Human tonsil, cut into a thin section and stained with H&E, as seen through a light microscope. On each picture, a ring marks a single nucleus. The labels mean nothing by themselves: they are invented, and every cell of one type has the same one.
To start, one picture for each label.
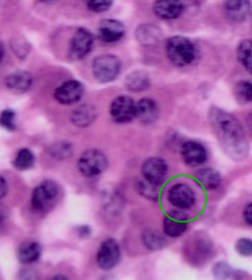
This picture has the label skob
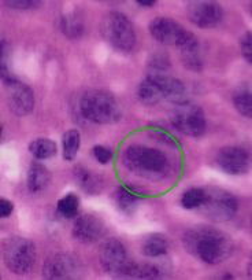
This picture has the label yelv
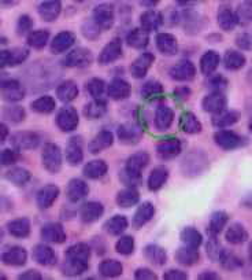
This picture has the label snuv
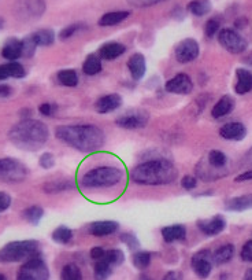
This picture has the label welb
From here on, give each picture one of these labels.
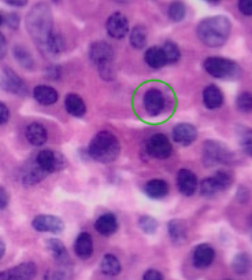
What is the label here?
skob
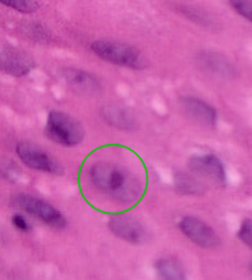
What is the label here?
yelv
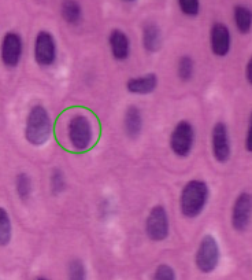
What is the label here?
yelv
